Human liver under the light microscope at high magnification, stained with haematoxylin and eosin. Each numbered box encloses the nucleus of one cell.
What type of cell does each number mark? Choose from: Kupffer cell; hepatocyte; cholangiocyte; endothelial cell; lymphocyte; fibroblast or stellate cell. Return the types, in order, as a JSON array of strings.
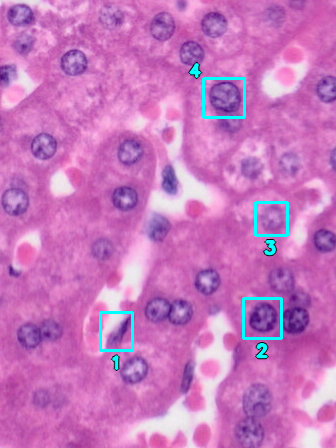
["Kupffer cell", "hepatocyte", "hepatocyte", "hepatocyte"]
